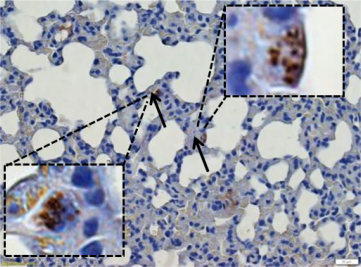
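This is lung tissue with open air spaces separated by thin alveolar walls, their nuclei stained blue. Two arrows pick out cells sitting within the alveolar walls, and the enlarged insets show that each holds dense dark brown granular deposits in its cytoplasm beside a blue nucleus. Elsewhere the tissue shows only blue nuclei and a faint pale brownish tinge in the septa, without the coarse brown granules of the marked cells.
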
